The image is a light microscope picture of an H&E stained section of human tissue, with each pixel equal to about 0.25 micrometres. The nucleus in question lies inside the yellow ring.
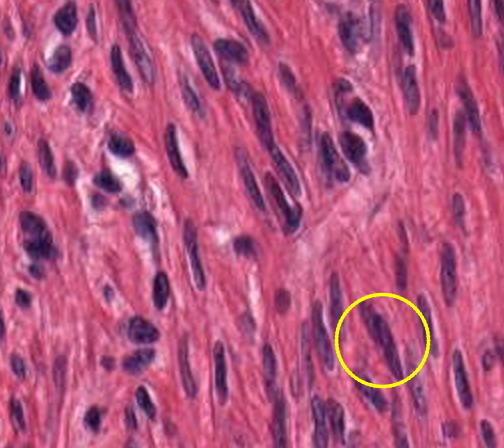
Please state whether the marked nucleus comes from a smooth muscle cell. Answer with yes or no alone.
yes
